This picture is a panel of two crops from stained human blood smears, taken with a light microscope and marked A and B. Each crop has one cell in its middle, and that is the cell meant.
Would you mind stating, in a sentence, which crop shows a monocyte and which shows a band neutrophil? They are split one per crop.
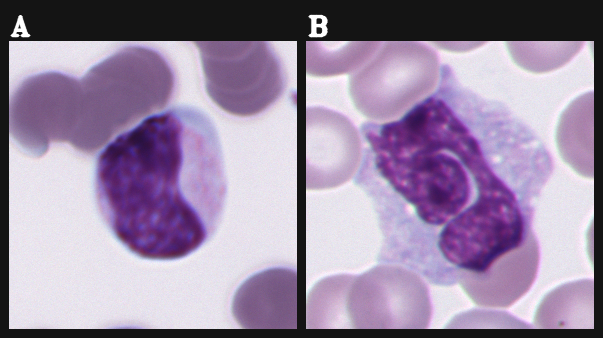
For crop A the cell is a band neutrophil, and for crop B it is a monocyte.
